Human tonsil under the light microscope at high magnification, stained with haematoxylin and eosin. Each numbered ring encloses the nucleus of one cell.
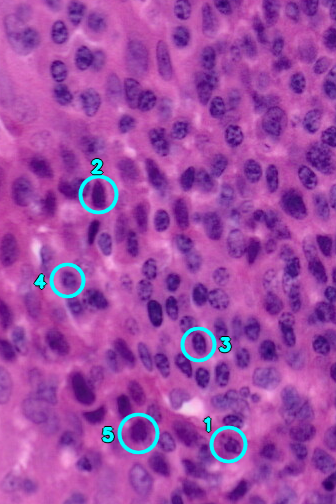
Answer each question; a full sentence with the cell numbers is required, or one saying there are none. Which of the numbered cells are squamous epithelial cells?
The cells that bear the numbers 1, 2 and 5 are squamous epithelial cells.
